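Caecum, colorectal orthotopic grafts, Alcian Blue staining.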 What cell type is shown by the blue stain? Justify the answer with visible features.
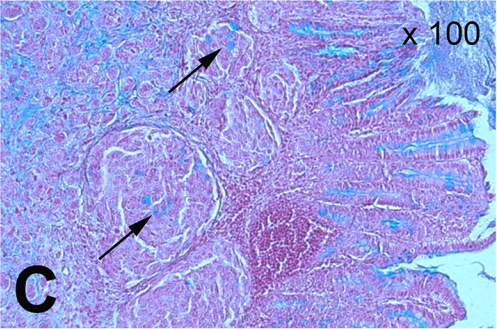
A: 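Mucus cells. Scattered bright blue spots lie in the epithelium of the mucosal folds and within rounded nests.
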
